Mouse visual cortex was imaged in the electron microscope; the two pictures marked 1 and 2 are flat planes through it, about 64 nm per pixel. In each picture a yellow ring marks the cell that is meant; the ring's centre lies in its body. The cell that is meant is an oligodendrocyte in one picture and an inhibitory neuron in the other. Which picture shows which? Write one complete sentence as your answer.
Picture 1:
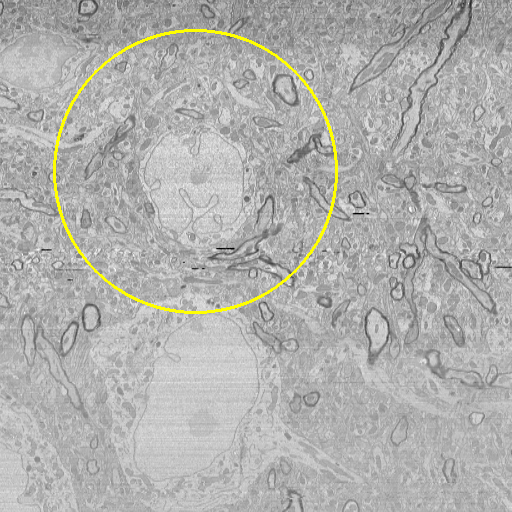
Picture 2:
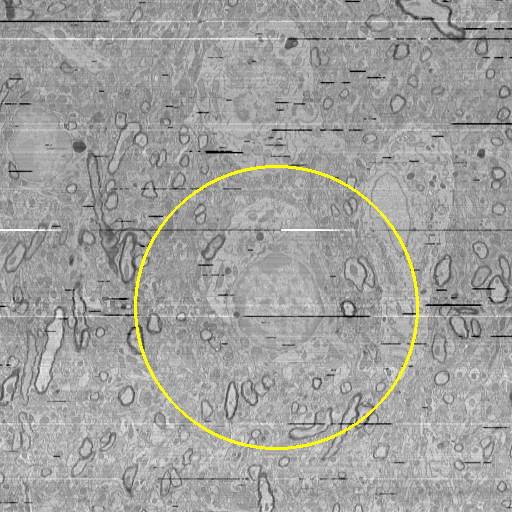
Picture 1 is of an inhibitory neuron, and picture 2 is of an oligodendrocyte.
